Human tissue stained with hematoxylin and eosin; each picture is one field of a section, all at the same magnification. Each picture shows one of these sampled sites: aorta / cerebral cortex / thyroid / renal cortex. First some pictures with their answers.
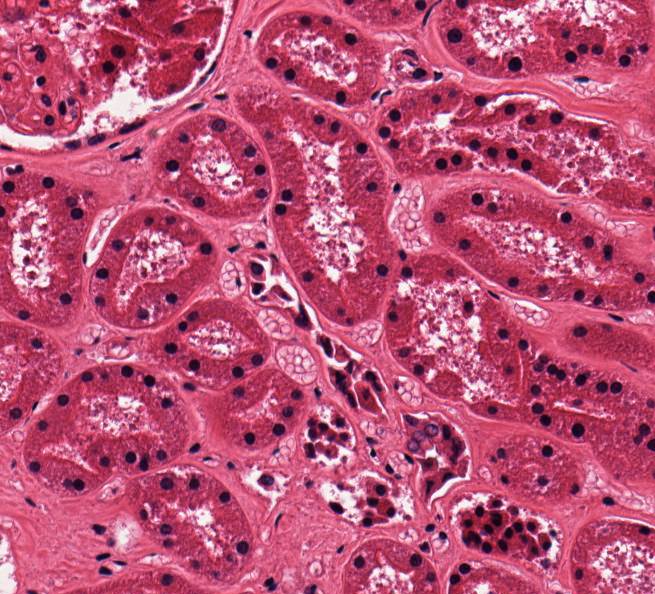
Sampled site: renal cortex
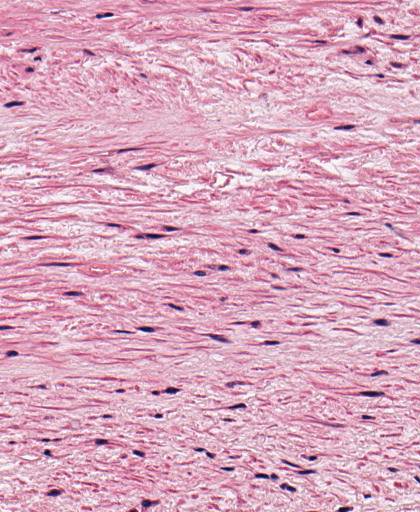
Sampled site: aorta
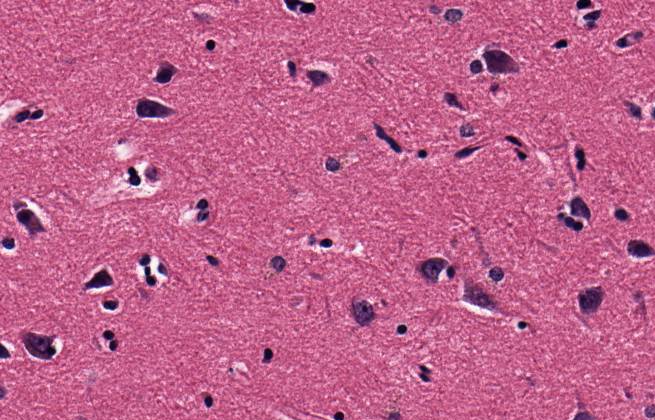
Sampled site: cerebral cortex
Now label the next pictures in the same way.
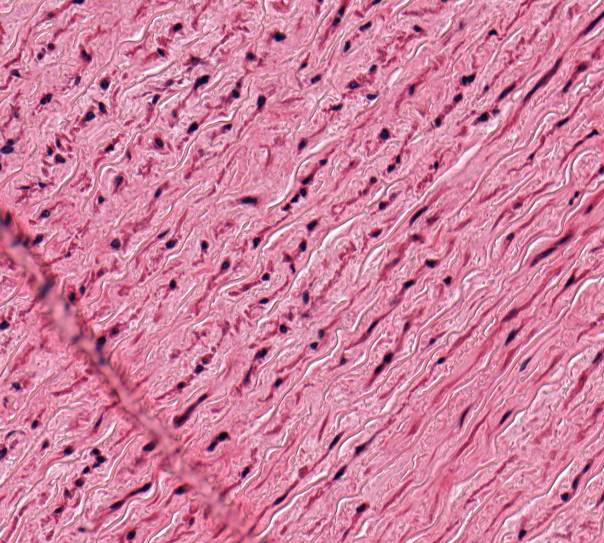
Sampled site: aorta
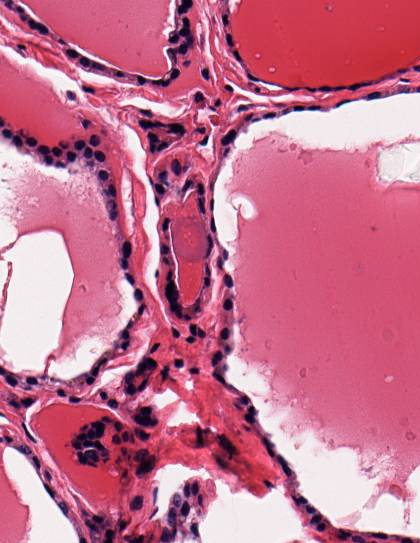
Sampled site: thyroid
